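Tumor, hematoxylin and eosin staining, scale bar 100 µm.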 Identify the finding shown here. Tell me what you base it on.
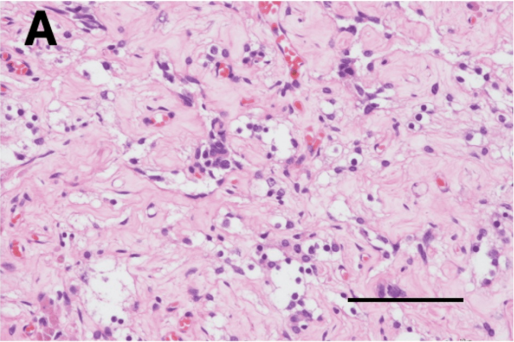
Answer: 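Many cells have pale, empty-looking or vacuolated cytoplasm. Nuclei are dark purple and round to oval. On this evidence: clear cytoplasm.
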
